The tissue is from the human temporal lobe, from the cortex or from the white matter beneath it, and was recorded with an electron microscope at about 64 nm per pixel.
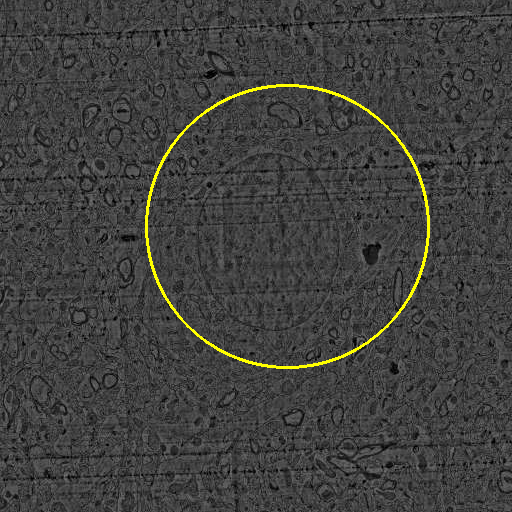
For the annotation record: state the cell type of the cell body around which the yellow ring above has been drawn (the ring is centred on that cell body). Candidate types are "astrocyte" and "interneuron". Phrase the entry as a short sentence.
The ringed cell is an interneuron.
